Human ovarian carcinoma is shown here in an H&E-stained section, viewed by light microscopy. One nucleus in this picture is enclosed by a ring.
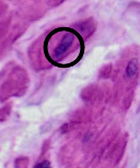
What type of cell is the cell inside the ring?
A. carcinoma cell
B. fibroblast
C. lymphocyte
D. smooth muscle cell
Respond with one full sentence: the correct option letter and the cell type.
Here the correct option is D, since the cell inside the ring is a smooth muscle cell.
